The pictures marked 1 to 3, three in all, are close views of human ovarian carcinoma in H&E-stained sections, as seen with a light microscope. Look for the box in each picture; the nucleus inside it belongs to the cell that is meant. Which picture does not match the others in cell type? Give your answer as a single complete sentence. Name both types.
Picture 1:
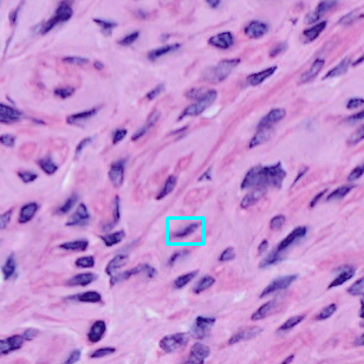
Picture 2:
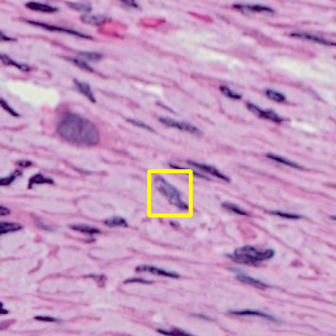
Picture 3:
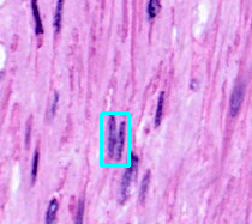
Picture 1 differs, because its cell is a smooth muscle cell and the rest are fibroblasts.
